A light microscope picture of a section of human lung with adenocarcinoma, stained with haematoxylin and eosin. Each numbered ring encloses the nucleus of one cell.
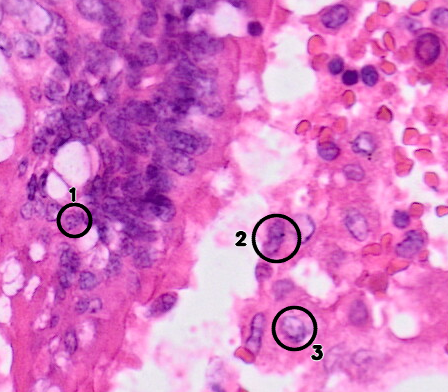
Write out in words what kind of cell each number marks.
Cell 1 is a ciliated epithelial cell. Cells 2 and 3 are macrophages or monocytes.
